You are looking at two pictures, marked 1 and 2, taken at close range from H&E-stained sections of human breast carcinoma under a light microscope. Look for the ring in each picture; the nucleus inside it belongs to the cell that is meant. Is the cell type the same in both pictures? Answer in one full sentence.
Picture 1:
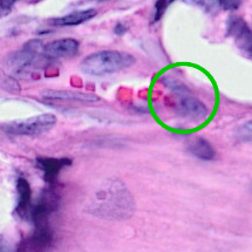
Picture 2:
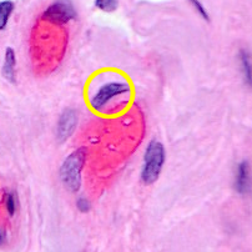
Yes, the two pictures both show endothelial cells.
